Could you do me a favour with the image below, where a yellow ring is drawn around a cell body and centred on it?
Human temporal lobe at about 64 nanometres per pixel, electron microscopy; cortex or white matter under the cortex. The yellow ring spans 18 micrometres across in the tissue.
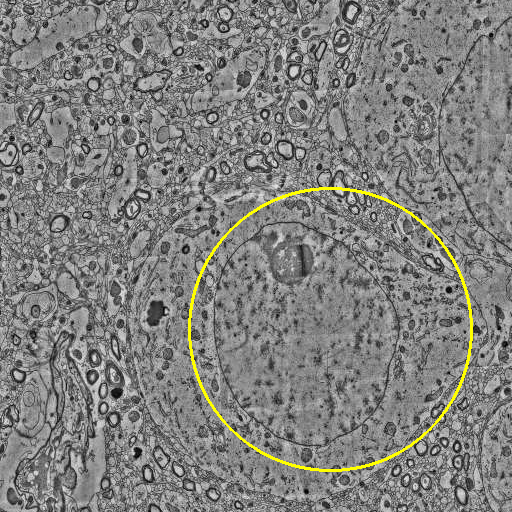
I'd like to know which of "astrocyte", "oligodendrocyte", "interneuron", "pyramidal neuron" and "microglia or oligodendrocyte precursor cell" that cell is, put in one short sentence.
The cell at the ring's centre is a pyramidal neuron.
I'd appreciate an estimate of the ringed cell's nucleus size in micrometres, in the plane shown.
The nucleus has a long axis of about 15 micrometres and a short axis of about 12 micrometres in this plane.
